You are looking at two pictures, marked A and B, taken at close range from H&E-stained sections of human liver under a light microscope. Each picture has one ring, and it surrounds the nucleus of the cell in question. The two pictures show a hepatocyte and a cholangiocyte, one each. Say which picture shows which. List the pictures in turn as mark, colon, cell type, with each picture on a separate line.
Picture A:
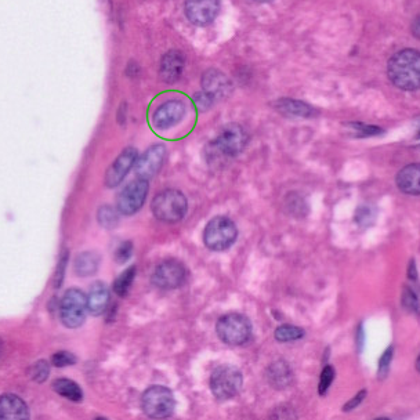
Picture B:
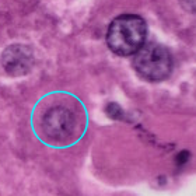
A: cholangiocyte
B: hepatocyte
